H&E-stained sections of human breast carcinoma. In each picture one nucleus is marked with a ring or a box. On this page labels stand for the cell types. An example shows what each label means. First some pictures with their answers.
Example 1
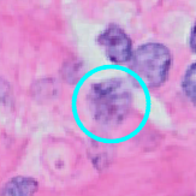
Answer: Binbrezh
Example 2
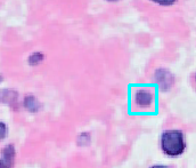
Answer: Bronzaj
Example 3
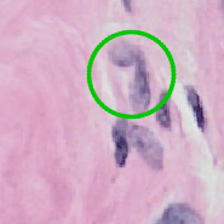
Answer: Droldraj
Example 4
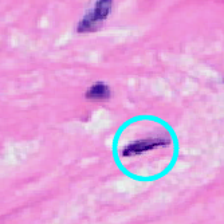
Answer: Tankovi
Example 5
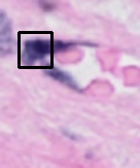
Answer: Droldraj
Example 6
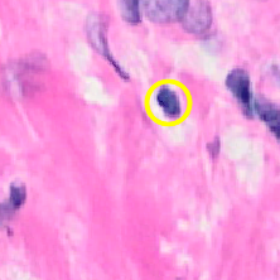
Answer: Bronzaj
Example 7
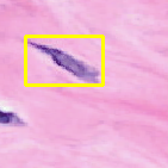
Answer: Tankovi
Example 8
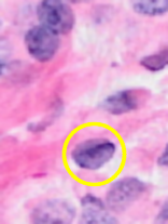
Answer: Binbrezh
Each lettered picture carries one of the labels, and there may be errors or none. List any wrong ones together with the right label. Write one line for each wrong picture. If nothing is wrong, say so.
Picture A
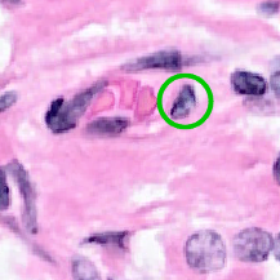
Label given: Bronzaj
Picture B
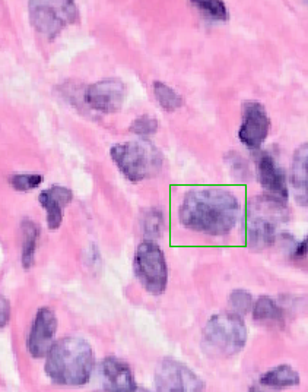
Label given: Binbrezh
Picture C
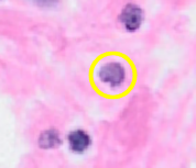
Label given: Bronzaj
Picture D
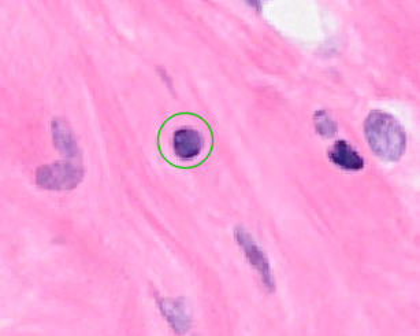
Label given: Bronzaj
A: not Bronzaj but Droldraj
